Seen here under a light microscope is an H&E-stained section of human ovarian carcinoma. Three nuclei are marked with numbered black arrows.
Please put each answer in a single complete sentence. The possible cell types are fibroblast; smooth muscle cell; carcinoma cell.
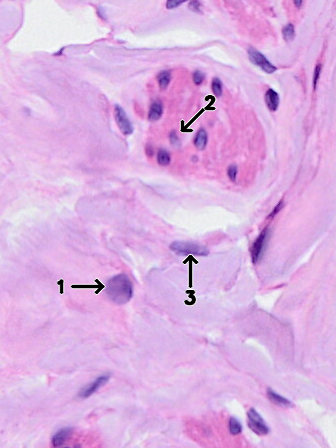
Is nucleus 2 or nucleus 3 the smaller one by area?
Nucleus 2 covers less area, with nucleus 3 about 3 times as large.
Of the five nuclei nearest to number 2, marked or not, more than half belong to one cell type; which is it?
The majority of the five nuclei closest to number 2 belong to smooth muscle cells.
